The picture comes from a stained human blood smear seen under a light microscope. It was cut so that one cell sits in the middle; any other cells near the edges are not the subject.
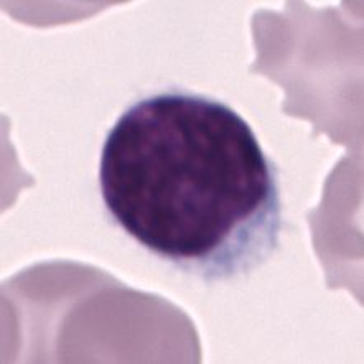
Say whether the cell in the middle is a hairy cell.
yes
